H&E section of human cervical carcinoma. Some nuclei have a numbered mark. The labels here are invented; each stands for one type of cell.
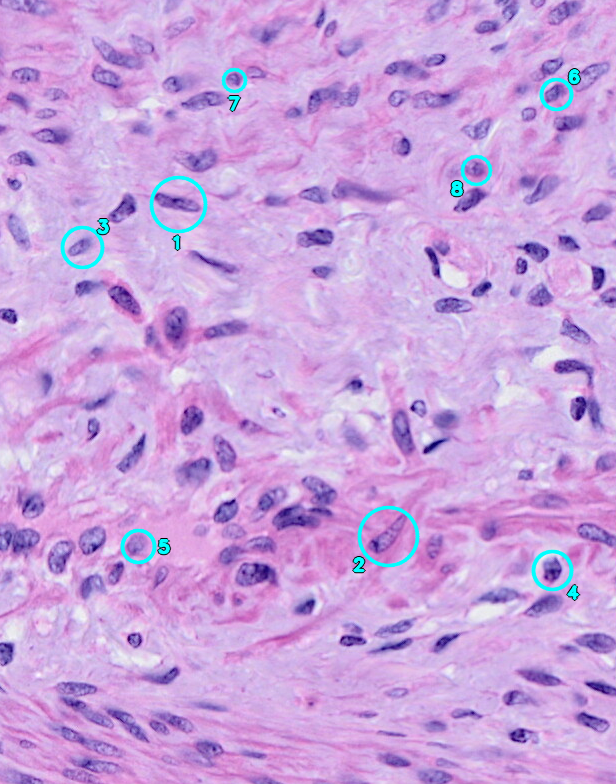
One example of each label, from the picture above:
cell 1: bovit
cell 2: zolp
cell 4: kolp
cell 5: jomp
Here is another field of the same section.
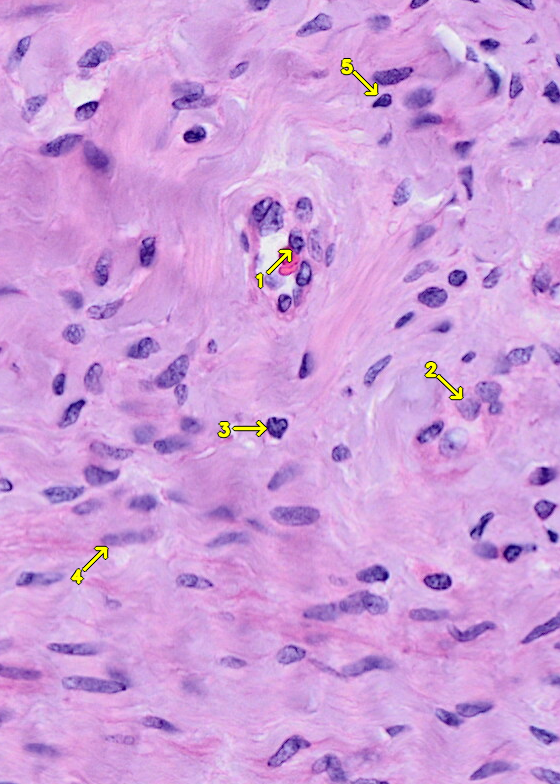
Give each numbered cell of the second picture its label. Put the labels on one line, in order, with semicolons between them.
jomp; jomp; kolp; zolp; bovit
